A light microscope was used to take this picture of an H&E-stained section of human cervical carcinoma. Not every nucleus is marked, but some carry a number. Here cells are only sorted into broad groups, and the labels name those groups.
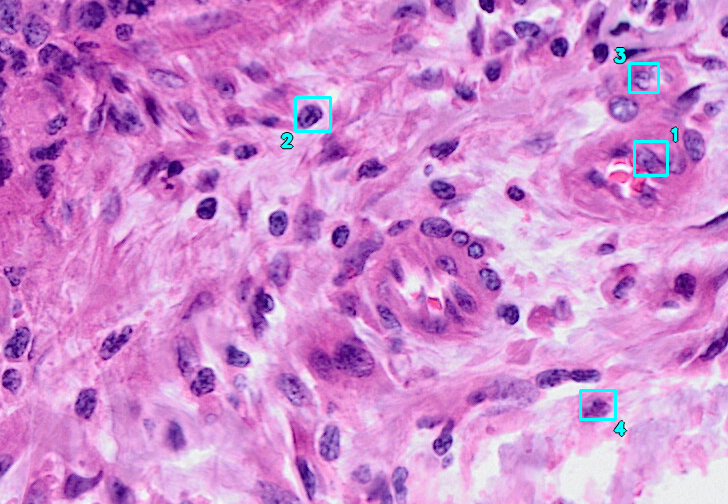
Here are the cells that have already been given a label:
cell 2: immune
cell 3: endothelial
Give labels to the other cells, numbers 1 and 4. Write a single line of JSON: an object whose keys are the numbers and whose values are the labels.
{"1": "endothelial", "4": "endothelial"}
